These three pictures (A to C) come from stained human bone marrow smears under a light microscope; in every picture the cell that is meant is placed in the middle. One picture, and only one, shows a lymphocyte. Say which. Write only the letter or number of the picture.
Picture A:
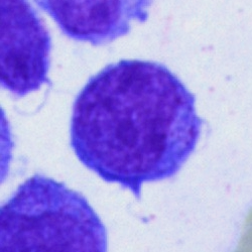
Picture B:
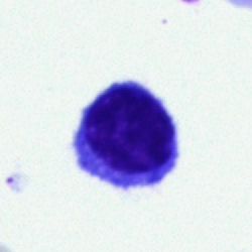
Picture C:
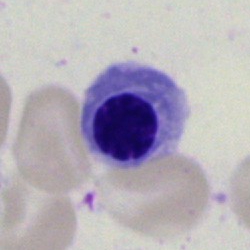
B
